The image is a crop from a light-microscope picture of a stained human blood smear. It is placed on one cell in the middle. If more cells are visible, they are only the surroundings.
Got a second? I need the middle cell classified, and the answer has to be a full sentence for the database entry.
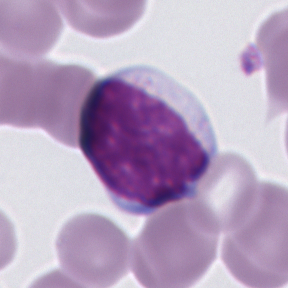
At the crop's centre, the cell is a large granular lymphocyte.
